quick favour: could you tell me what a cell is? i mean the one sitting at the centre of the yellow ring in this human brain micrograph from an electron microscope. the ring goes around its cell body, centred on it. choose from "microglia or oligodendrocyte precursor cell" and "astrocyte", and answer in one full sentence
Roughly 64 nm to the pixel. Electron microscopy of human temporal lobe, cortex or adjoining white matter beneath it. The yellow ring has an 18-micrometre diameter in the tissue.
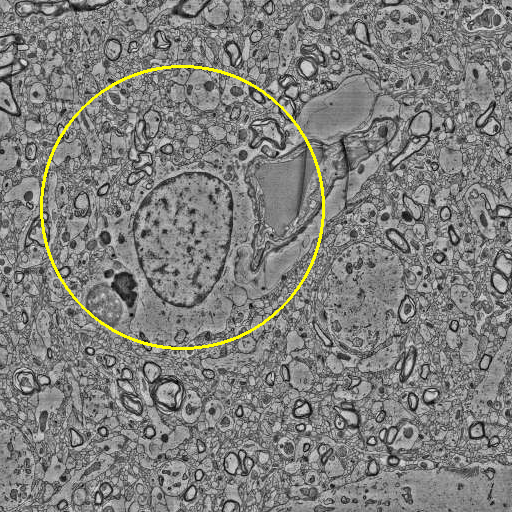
That's a microglial cell or oligodendrocyte precursor cell, the cell sitting at the centre of the yellow ring.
